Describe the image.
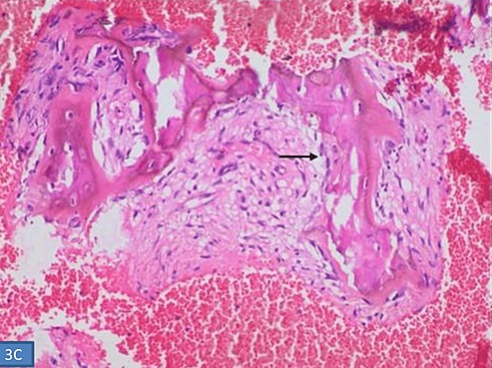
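Thin, irregular trabeculae of pink new bone enclose a cellular fibrous stroma with oval to spindle purple nuclei. Cells line the surfaces of the trabeculae. The fragment is surrounded by abundant red blood cells.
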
